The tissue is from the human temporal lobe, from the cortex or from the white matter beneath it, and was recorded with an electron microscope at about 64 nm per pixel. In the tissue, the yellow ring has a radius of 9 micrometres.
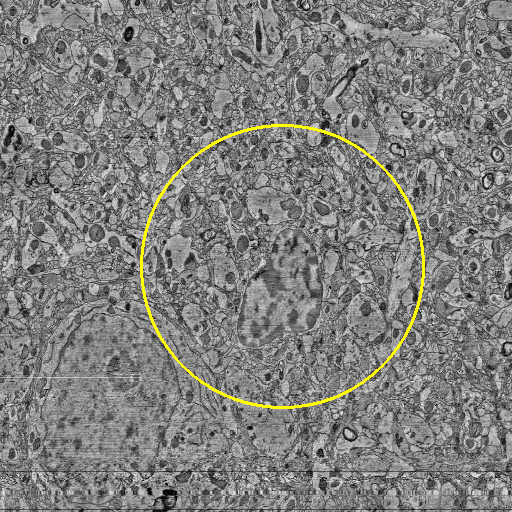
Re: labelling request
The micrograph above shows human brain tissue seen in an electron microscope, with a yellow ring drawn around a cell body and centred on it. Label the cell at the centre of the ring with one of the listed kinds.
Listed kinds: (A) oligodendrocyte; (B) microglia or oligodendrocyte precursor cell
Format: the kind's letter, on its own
B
